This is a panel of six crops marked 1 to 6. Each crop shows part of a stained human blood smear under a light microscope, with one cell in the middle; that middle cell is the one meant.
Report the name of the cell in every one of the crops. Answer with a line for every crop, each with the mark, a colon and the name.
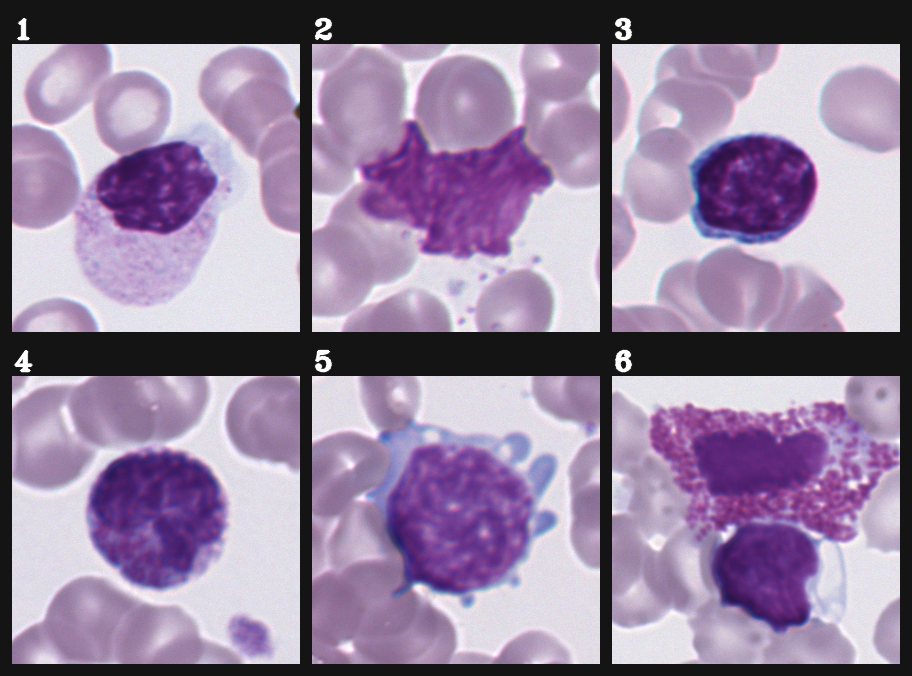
1: neutrophil
2: smudge cell
3: typical lymphocyte
4: basophil
5: myeloblast
6: eosinophil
